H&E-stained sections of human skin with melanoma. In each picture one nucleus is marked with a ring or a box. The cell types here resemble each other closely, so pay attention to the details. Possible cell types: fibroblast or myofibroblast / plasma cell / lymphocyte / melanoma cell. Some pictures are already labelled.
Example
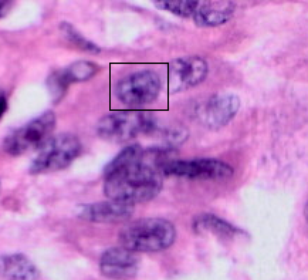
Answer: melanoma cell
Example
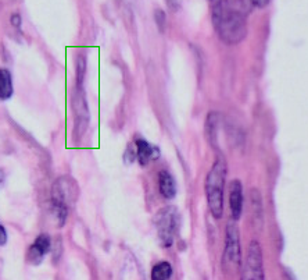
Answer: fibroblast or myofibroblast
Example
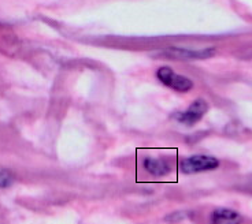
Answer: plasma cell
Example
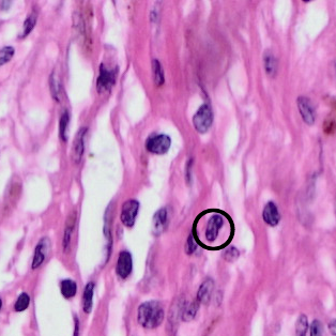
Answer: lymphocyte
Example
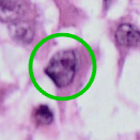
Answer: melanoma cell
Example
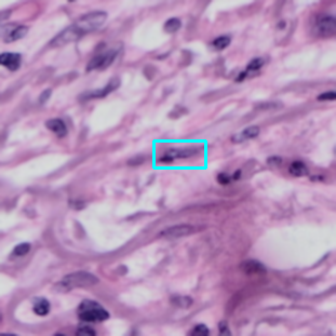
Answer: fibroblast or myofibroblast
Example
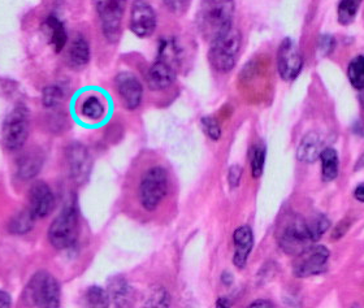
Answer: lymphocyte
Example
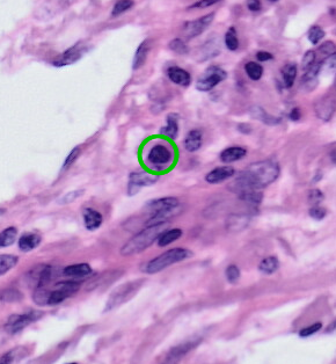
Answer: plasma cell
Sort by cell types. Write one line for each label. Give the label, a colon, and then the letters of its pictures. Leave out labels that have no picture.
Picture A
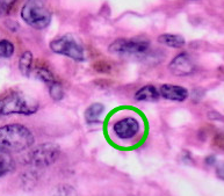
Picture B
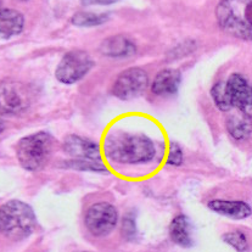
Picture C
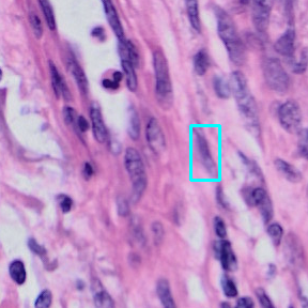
fibroblast or myofibroblast: C
lymphocyte: A
melanoma cell: B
